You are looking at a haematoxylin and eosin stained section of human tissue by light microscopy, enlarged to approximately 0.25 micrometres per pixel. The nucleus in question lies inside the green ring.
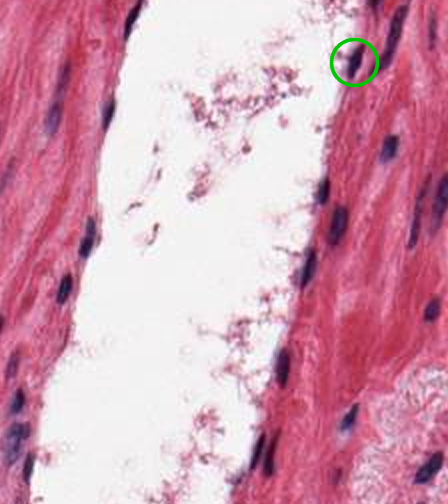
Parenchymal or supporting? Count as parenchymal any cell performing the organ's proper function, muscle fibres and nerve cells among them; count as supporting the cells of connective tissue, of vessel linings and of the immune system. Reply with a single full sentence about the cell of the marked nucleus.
A supporting cell contains the marked nucleus.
